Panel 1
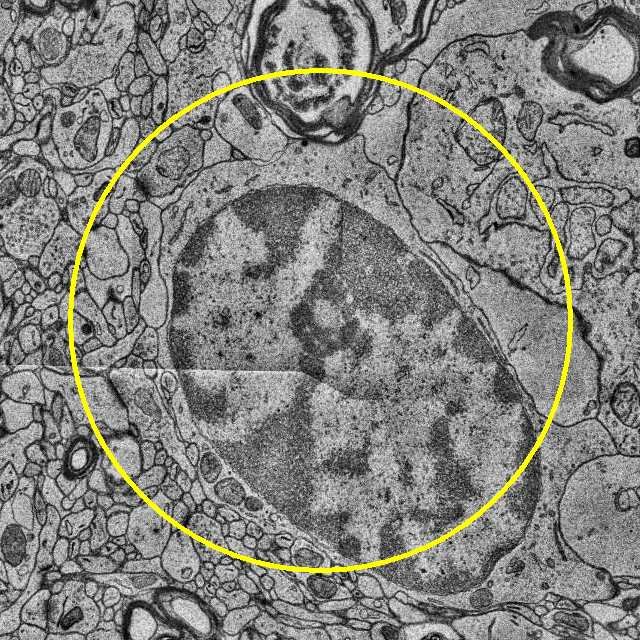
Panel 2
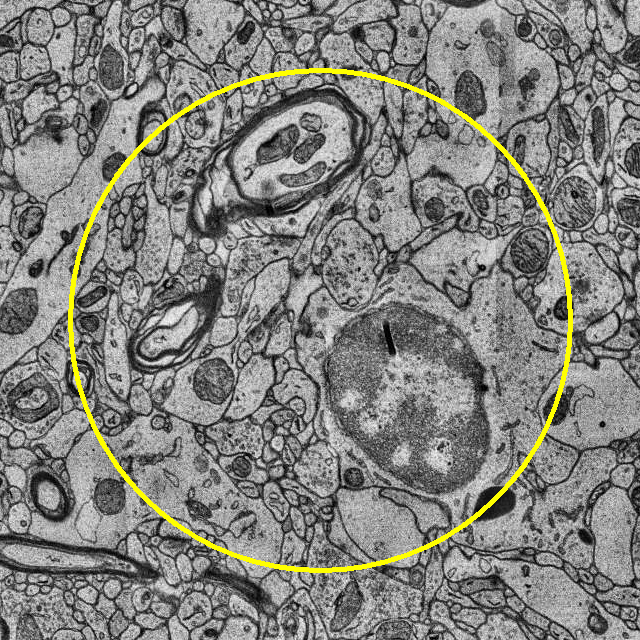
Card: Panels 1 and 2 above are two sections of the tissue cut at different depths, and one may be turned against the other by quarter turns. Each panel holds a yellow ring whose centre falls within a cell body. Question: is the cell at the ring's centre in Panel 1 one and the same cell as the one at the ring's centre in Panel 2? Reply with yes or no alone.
yes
